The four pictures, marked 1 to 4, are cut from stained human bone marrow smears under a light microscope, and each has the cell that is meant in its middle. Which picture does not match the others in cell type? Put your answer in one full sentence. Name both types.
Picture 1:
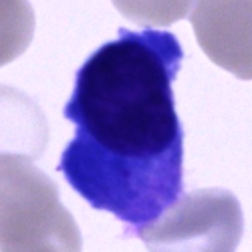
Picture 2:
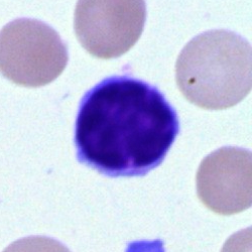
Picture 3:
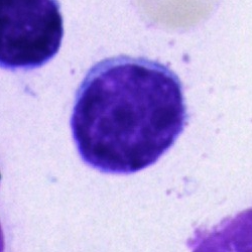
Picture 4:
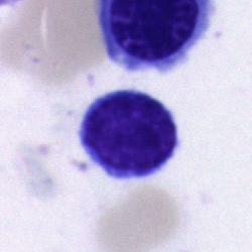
All pictures except 1 show lymphocytes; picture 1 shows a plasma cell.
